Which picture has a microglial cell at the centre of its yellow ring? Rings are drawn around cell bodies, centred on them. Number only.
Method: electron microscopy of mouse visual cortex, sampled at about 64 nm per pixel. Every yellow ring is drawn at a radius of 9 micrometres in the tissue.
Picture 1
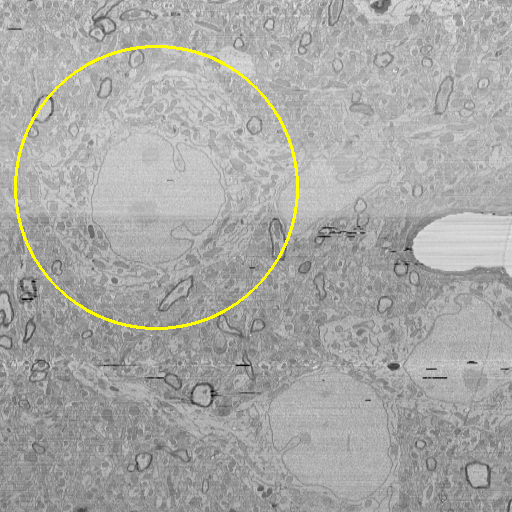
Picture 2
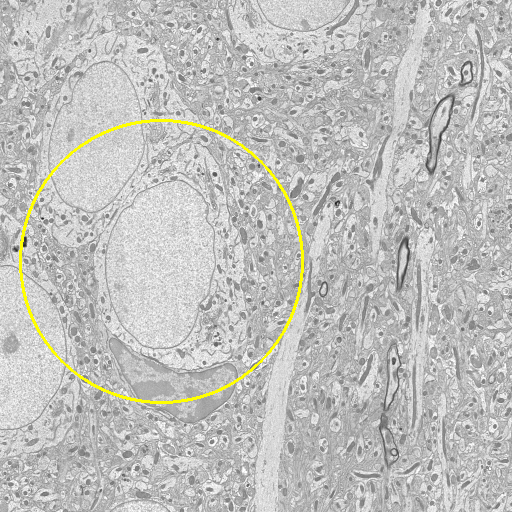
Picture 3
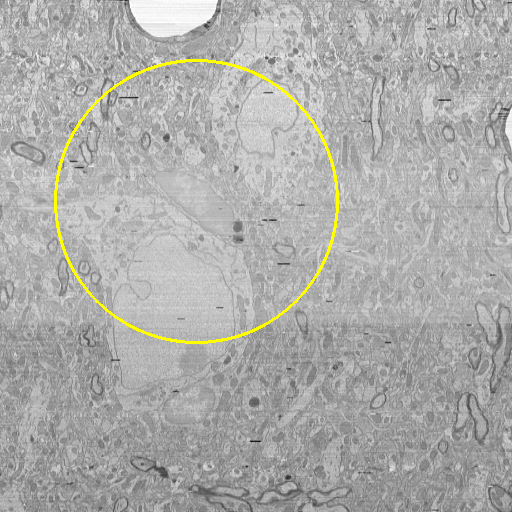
3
